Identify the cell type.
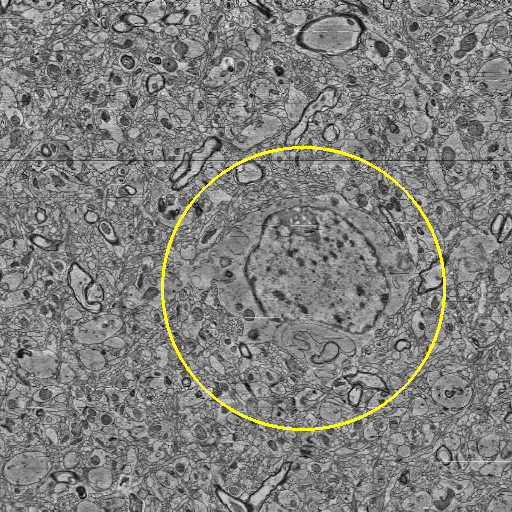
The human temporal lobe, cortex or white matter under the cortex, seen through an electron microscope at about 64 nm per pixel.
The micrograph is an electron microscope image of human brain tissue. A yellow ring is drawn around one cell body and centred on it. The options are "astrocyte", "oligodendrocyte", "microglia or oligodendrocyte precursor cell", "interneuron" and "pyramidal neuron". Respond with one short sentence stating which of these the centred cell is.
The cell body in the ring belongs to an astrocyte.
